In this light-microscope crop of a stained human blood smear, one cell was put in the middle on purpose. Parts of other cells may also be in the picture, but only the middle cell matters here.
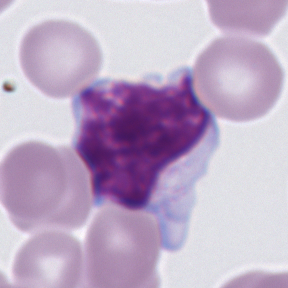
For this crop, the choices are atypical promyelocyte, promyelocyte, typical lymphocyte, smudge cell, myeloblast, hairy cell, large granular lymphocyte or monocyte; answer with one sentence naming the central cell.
In the centre of this crop there is a large granular lymphocyte.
